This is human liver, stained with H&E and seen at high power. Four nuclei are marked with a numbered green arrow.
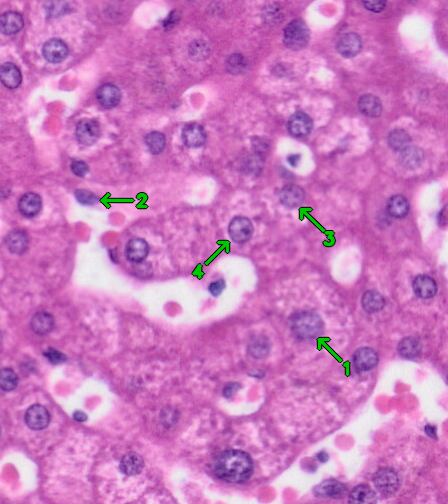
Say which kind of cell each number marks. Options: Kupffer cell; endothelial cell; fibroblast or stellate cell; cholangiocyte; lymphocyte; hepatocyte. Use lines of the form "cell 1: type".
cell 1: hepatocyte
cell 2: Kupffer cell
cell 3: hepatocyte
cell 4: hepatocyte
